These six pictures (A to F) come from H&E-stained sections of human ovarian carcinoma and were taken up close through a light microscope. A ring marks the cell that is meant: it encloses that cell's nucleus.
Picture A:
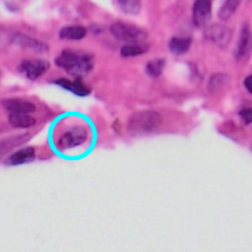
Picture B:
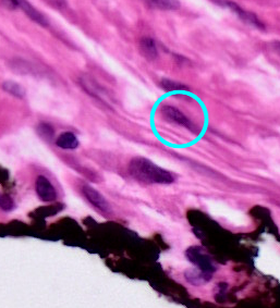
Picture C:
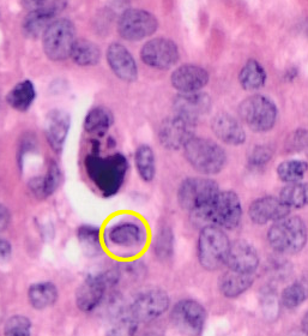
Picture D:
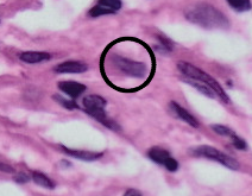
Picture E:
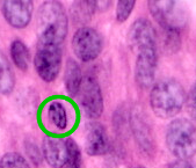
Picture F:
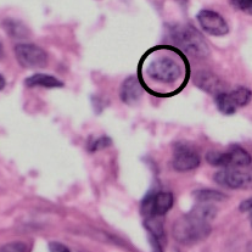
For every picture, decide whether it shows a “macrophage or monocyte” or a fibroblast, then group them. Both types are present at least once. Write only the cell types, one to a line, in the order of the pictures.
macrophage or monocyte
fibroblast
macrophage or monocyte
fibroblast
macrophage or monocyte
macrophage or monocyte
